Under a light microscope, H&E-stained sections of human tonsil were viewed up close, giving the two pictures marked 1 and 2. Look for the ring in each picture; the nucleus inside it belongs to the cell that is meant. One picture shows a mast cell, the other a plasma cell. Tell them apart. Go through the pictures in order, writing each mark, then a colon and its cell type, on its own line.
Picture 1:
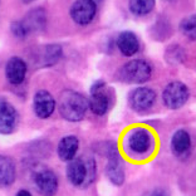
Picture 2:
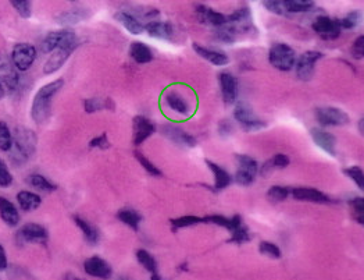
1: plasma cell
2: mast cell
